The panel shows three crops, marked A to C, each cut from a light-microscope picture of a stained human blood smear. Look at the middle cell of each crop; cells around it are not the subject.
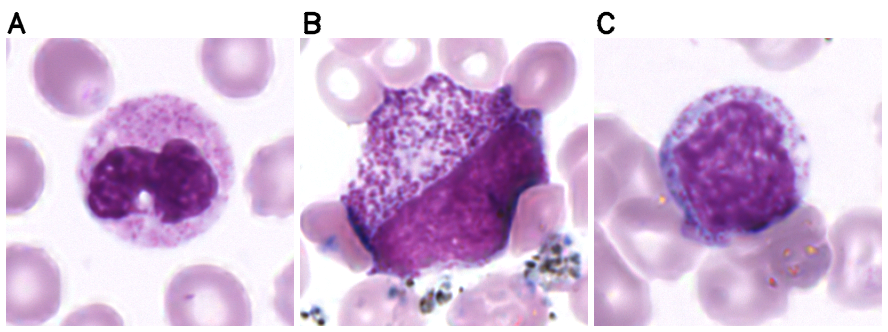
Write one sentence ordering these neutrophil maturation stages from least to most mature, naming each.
Arranging the cells from least to most mature gives crop B (a promyelocyte), crop C (a myelocyte) and crop A (a band neutrophil).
